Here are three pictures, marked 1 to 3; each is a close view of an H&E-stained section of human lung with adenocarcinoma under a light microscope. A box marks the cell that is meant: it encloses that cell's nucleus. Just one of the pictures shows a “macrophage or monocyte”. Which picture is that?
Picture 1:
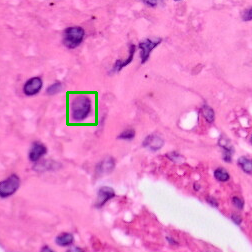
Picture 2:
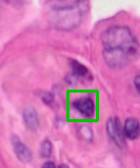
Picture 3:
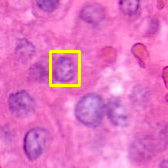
3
